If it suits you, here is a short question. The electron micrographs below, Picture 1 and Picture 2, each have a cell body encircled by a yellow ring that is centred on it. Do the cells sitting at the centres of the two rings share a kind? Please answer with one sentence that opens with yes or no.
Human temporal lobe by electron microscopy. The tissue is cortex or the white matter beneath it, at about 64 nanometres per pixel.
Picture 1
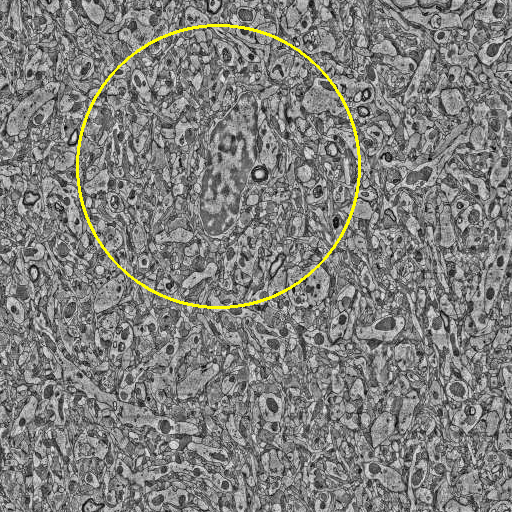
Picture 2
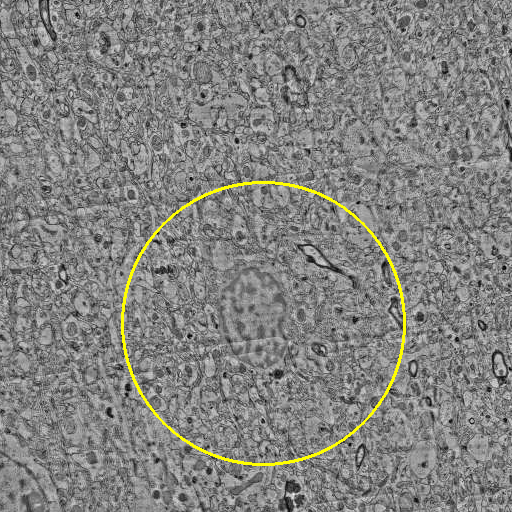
No, the two cells sitting at the ring centres fall into two kinds.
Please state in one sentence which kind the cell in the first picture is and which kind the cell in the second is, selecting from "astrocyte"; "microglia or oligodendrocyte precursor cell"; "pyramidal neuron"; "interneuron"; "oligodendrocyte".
The first ringed cell is a microglial cell or oligodendrocyte precursor cell, the second ringed cell an oligodendrocyte.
